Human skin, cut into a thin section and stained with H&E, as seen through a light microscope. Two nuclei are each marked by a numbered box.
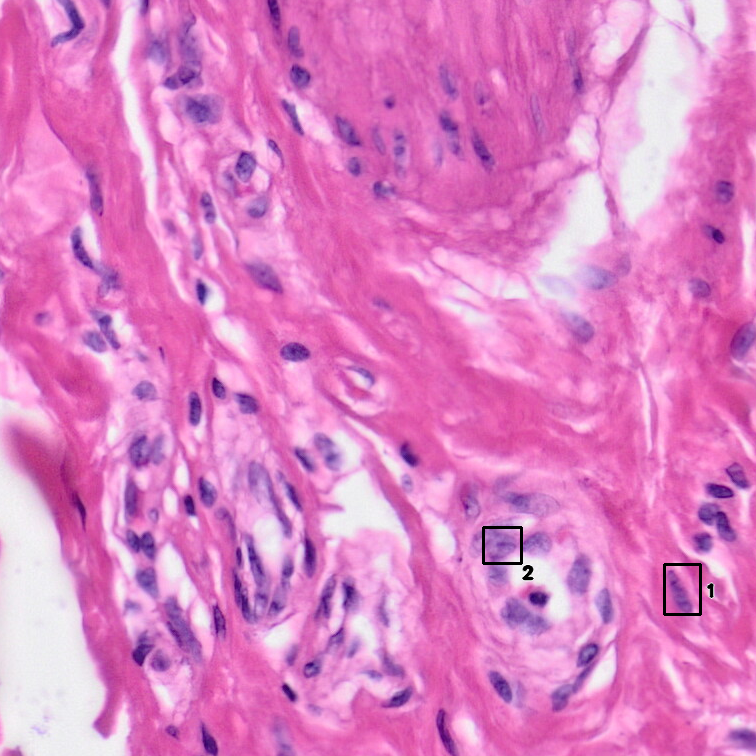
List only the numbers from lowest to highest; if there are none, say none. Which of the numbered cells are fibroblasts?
1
